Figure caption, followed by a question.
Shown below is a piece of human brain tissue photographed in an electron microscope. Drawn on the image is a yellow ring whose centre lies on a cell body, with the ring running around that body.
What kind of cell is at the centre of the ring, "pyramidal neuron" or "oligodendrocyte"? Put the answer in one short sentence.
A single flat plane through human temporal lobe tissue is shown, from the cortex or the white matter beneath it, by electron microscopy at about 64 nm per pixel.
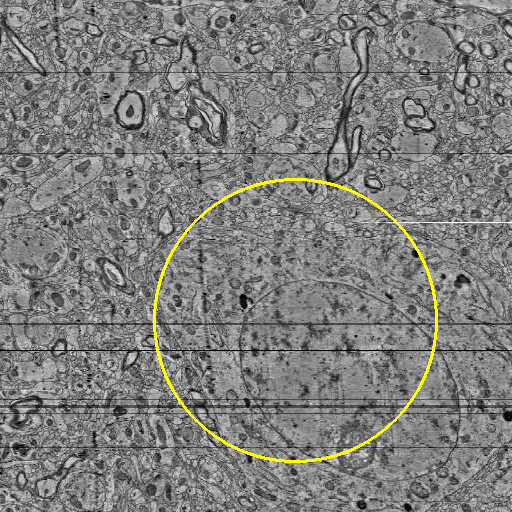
The ring marks the cell body of a pyramidal neuron.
